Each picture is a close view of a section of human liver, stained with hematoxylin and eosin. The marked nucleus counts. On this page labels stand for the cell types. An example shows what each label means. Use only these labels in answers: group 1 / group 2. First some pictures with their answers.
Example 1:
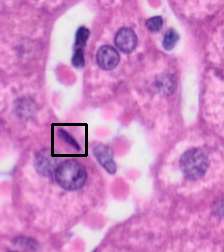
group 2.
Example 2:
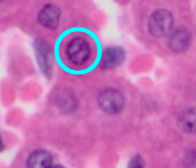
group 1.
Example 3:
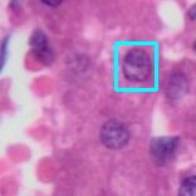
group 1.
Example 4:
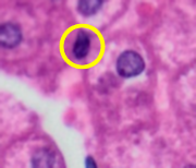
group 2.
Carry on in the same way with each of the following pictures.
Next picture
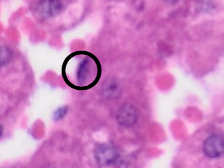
group 2.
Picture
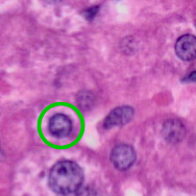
group 1.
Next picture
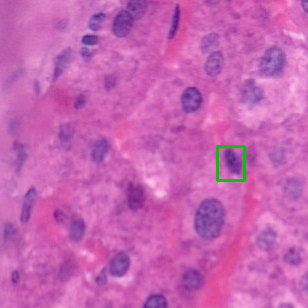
group 2.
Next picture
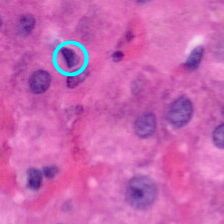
group 2.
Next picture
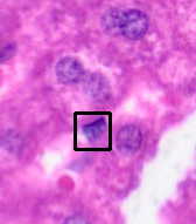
group 2.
